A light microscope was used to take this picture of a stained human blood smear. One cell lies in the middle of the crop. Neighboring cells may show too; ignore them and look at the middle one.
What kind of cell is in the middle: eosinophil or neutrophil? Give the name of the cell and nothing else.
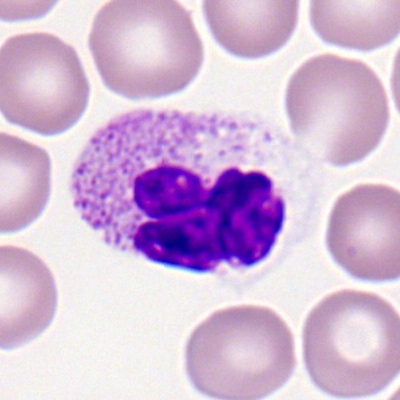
neutrophil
